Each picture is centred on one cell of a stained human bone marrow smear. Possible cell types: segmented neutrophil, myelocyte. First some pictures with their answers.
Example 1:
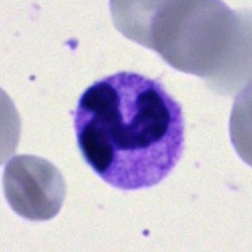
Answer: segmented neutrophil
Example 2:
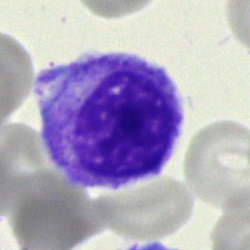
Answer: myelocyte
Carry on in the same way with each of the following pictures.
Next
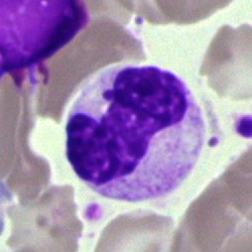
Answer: segmented neutrophil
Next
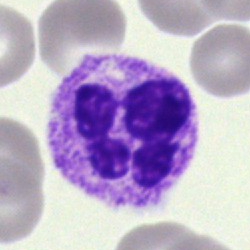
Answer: segmented neutrophil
